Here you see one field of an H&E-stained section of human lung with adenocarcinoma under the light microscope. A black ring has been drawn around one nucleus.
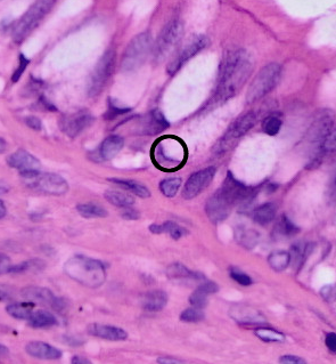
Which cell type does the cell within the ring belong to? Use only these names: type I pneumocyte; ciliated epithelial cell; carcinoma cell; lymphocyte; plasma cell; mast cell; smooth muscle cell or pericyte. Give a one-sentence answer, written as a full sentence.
As far as its identity is concerned, the cell within the ring is a ciliated epithelial cell.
